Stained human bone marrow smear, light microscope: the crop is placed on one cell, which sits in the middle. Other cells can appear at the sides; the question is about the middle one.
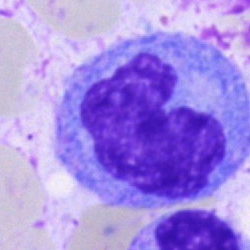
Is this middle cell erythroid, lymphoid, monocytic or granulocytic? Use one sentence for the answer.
Recorded as monocytic in lineage is the cell in the middle of the crop.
